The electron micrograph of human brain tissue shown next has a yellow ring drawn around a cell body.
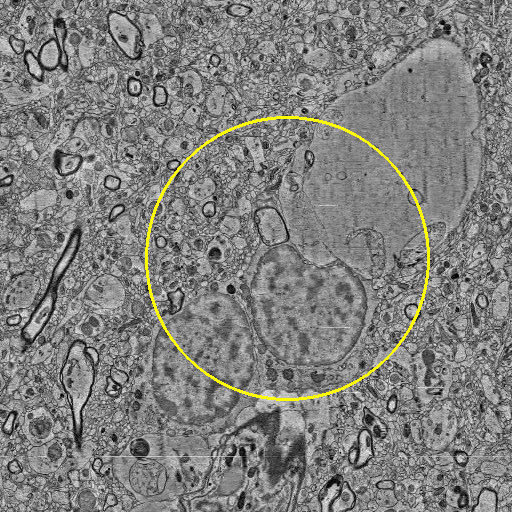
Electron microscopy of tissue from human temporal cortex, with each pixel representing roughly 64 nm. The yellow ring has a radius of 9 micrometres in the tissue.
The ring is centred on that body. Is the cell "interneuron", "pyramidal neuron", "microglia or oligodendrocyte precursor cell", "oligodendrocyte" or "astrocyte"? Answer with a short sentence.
The cell in question is an oligodendrocyte.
